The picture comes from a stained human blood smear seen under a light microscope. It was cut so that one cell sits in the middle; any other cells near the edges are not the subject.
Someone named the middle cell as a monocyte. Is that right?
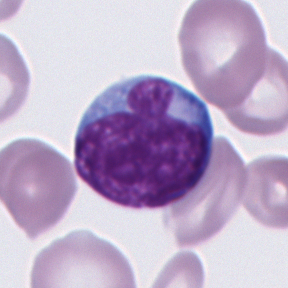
no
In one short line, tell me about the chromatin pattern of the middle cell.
What stands out is chromatin that is coarsely clumped.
